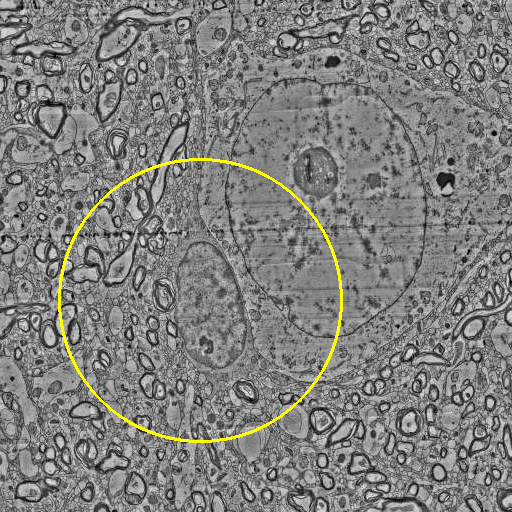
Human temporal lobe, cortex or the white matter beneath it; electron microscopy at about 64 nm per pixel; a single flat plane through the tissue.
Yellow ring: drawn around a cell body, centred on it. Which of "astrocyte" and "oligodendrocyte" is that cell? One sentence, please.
That cell body is from an oligodendrocyte.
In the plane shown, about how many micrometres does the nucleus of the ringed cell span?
In this plane the nucleus spans approximately 8 by 5 micrometers.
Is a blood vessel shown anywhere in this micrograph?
No.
